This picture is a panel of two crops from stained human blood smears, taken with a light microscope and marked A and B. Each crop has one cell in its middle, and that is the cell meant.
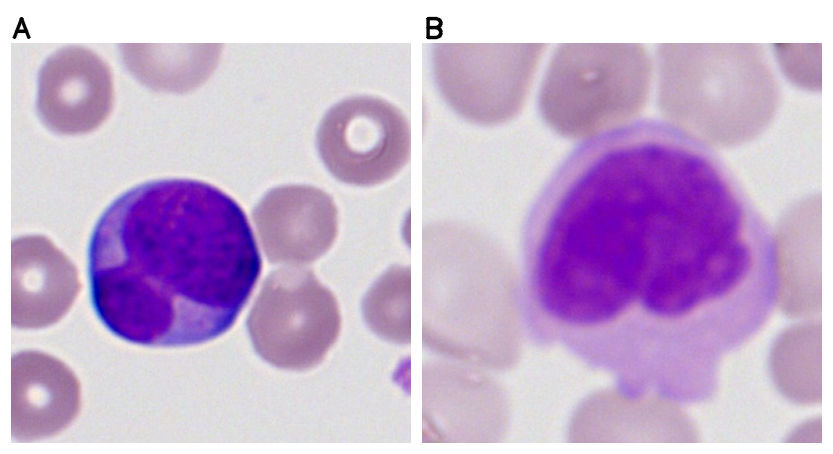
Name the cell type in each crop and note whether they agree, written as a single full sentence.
No, in this case crop A shows a blast, and crop B shows a monocyte.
